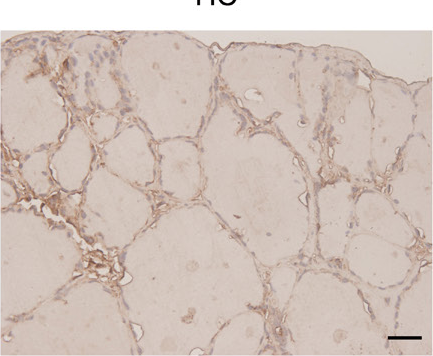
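This section of thyroid shows large follicles, round to polygonal in outline, each filled with pale, homogeneous colloid. The follicles are lined by a single thin layer of flattened to low cuboidal epithelial cells whose small nuclei are stained blue. Between neighbouring follicles run narrow strands of connective tissue carrying small vessels. A brown stain lies along the follicle walls and in the tissue between follicles, and is densest in the interstitium at the lower left.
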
